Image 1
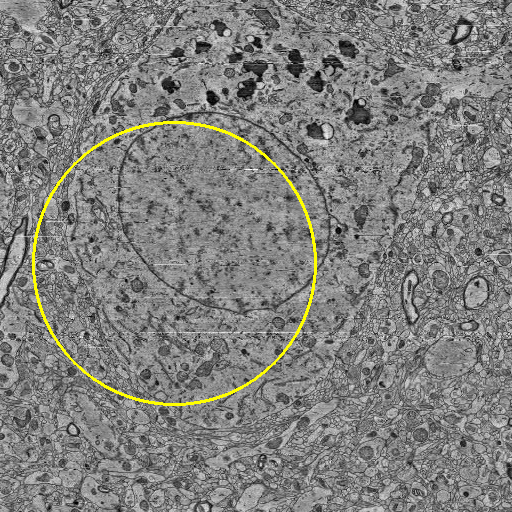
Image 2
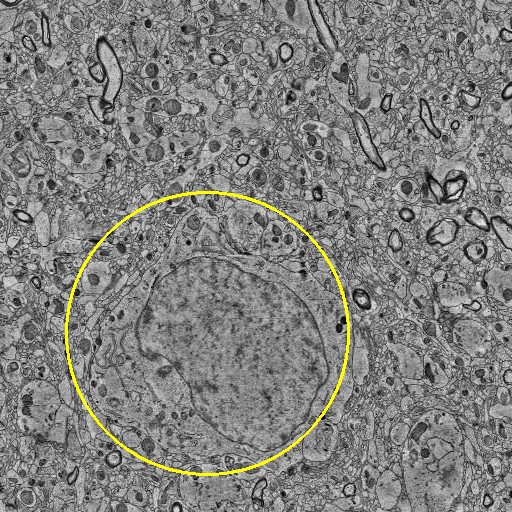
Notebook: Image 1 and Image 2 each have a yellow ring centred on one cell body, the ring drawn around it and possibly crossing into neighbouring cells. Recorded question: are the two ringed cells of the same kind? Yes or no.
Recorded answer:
no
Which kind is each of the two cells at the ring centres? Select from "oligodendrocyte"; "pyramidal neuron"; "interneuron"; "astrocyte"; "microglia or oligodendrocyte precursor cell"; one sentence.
The cell at the centre of the ring is a pyramidal neuron in the first picture and an interneuron in the second.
